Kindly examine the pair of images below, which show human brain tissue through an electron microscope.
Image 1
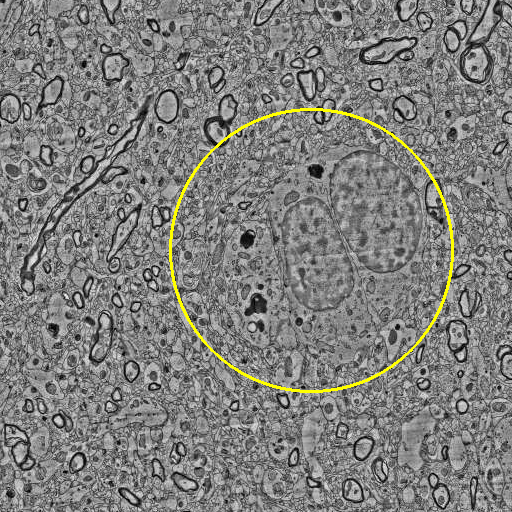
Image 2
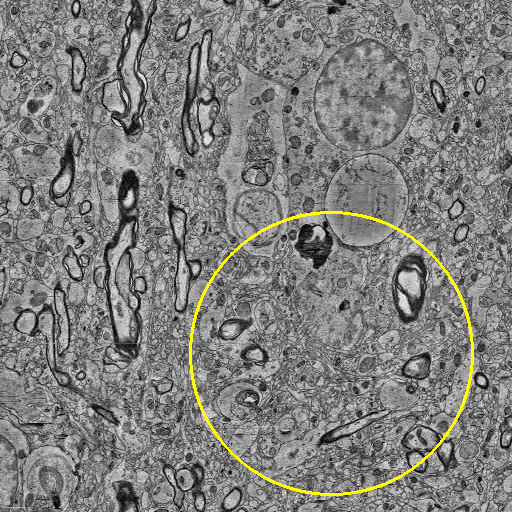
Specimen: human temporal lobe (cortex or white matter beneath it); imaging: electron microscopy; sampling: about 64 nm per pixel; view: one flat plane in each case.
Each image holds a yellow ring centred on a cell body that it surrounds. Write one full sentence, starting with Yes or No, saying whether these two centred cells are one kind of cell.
Yes, both cells at the centres of the yellow rings belong to one kind of cell.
